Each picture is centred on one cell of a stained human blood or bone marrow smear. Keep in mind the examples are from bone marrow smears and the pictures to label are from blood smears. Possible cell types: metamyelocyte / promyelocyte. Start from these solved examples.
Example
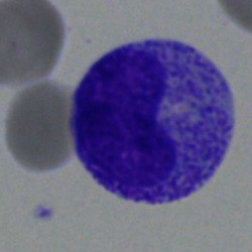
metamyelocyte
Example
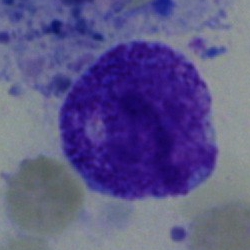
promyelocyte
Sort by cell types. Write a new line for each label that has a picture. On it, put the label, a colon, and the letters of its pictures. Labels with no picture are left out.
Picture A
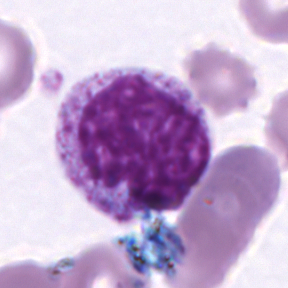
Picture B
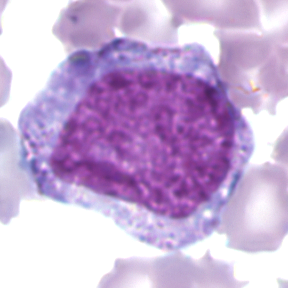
metamyelocyte: A
promyelocyte: B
